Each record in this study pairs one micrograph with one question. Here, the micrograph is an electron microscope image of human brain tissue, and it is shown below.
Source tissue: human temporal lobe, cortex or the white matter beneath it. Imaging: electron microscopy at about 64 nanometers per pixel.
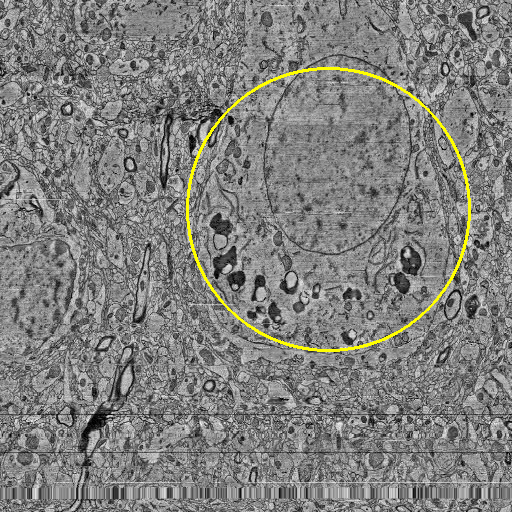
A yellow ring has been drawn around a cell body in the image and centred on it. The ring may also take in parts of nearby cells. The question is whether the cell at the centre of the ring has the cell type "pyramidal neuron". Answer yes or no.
yes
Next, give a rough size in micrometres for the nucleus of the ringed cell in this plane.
The nucleus is approximately 13 micrometers long by 10 micrometers wide in this plane.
